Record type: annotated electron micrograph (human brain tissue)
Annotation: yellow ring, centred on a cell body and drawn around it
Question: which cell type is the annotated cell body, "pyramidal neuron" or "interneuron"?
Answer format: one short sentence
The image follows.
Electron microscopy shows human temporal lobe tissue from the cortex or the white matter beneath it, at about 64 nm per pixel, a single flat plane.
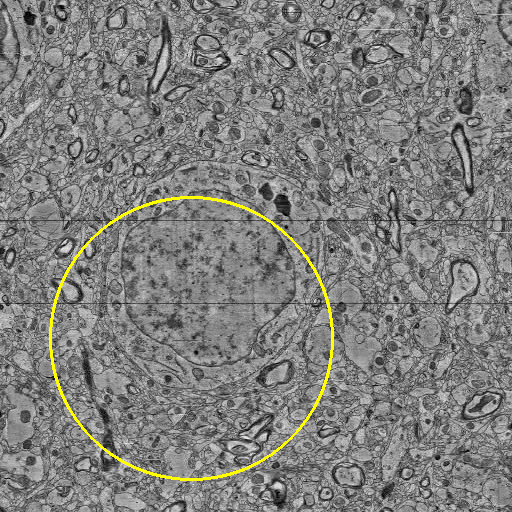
The annotated cell body is that of a pyramidal neuron.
